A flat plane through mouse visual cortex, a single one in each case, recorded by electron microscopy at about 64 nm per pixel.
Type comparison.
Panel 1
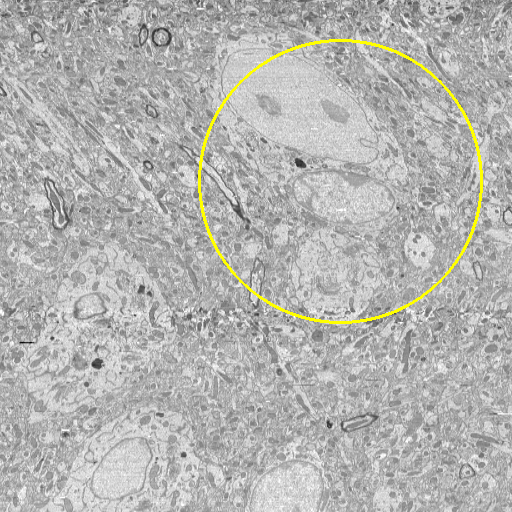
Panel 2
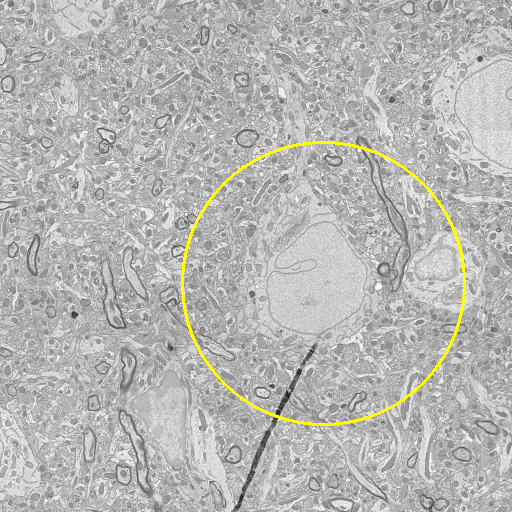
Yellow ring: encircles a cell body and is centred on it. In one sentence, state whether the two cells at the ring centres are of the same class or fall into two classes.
In these panels, the two cells at the ring centres fall into two classes.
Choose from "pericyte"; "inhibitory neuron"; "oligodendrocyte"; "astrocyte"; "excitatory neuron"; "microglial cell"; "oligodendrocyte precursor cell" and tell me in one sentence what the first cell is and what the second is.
What the first ring is centred on is an oligodendrocyte; what the second ring is centred on is an excitatory neuron.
